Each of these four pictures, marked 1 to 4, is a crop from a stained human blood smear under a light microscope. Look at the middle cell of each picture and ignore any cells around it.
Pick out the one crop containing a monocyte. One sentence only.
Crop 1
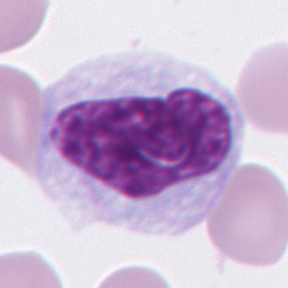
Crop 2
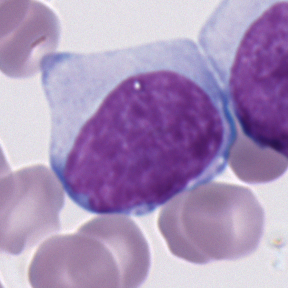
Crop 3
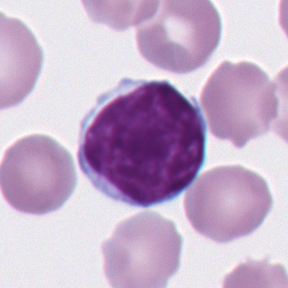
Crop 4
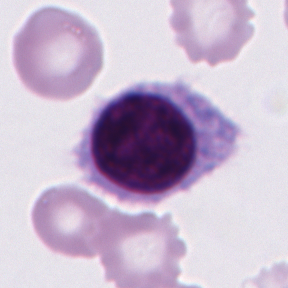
Crop 1 is the one in the set with a monocyte at the center.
